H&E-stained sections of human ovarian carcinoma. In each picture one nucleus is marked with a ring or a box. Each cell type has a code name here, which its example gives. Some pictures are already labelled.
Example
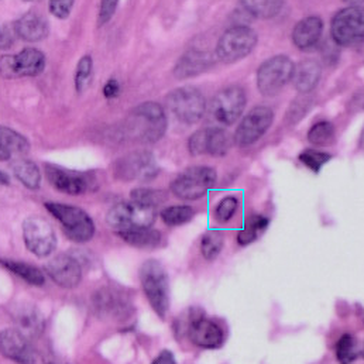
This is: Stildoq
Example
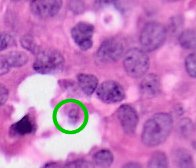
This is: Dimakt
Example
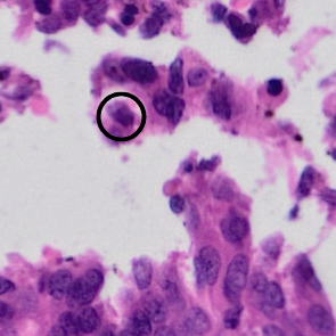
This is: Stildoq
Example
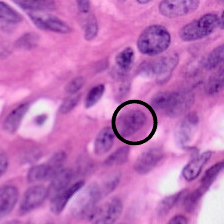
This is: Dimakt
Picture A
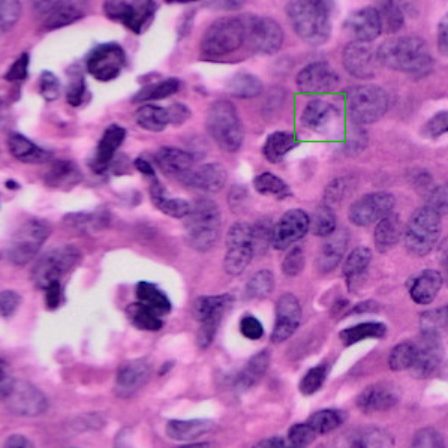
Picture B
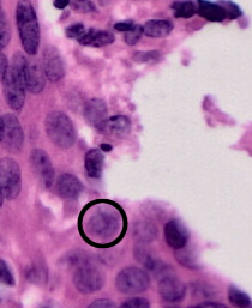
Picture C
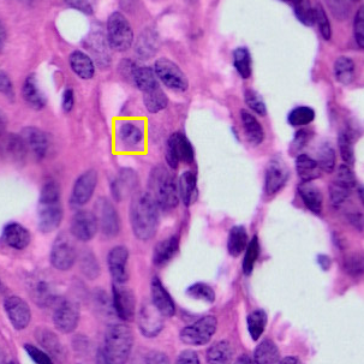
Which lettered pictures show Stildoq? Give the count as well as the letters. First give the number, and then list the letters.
2, namely A, C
